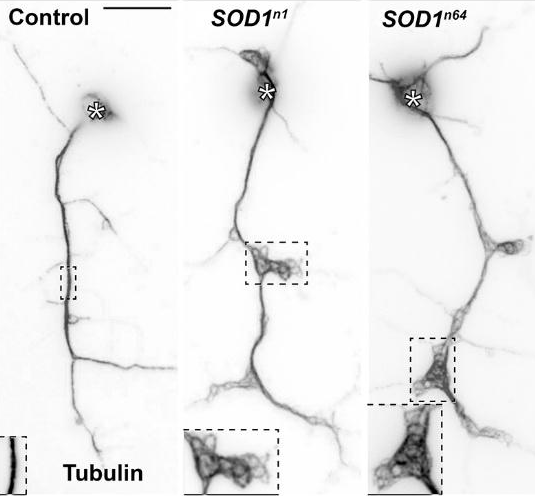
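Three cultured neurons are shown, each with a rounded cell body from which a long, branching neurite extends. In the left neuron the microtubules run as a smooth, continuous, compact bundle along the neurite, whereas in the middle and right neurons the neurites carry swellings in which the microtubules form loops and tangled whorls, shown enlarged in the insets.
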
